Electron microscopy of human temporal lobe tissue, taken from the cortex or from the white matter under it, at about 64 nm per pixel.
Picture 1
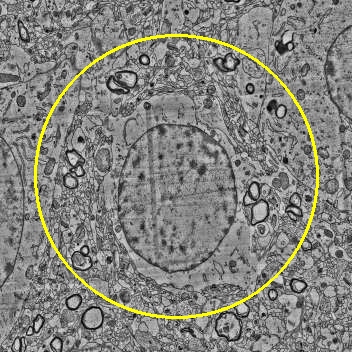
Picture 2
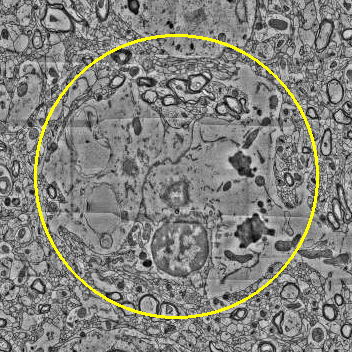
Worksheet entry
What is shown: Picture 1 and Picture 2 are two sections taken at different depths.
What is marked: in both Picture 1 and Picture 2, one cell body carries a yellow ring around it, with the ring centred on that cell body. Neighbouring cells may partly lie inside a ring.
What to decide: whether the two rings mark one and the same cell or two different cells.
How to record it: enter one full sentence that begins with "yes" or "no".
No, the rings do not mark the same cell.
